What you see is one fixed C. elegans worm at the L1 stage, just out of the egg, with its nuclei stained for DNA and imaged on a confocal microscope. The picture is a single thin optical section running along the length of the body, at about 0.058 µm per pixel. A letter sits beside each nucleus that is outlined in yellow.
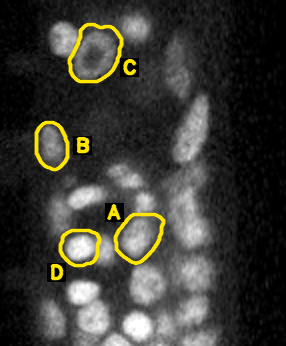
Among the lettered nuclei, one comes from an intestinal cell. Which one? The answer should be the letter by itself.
C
